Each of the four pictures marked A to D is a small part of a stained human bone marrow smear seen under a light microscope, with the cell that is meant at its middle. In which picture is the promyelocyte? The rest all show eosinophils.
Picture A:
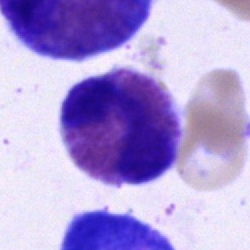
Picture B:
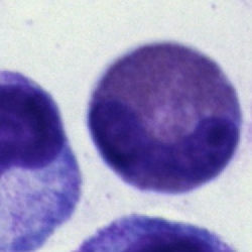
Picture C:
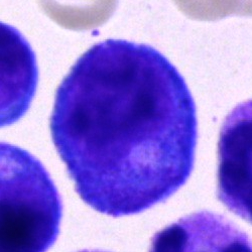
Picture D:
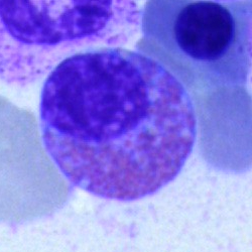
C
